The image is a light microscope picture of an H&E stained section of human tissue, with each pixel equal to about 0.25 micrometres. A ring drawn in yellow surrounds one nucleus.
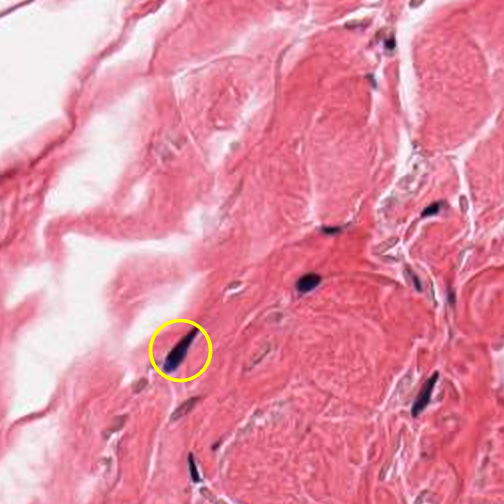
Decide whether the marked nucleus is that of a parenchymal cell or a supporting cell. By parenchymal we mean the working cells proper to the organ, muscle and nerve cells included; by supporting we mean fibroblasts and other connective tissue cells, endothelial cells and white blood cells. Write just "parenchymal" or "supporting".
supporting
